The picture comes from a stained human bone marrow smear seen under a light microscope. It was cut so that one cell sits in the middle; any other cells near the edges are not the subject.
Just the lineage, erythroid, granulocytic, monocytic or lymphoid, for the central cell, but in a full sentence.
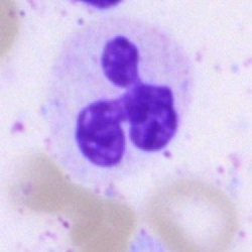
The cell occupying the middle of the crop is classified within the granulocytic lineage.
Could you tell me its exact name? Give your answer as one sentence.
The cell centred in this crop is categorized as a segmented neutrophil.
